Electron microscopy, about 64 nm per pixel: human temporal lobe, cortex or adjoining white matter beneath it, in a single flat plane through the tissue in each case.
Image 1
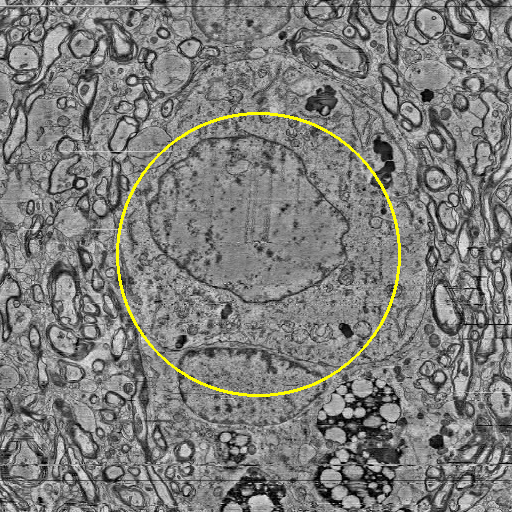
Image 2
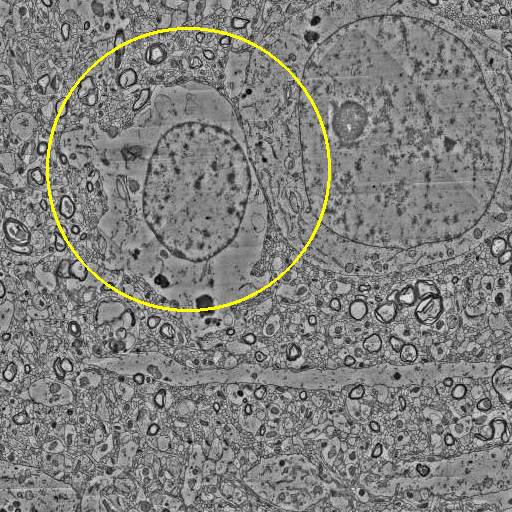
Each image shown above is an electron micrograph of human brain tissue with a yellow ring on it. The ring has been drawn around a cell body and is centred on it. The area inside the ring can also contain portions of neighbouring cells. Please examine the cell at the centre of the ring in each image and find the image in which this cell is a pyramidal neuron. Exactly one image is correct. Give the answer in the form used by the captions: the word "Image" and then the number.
Image 1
